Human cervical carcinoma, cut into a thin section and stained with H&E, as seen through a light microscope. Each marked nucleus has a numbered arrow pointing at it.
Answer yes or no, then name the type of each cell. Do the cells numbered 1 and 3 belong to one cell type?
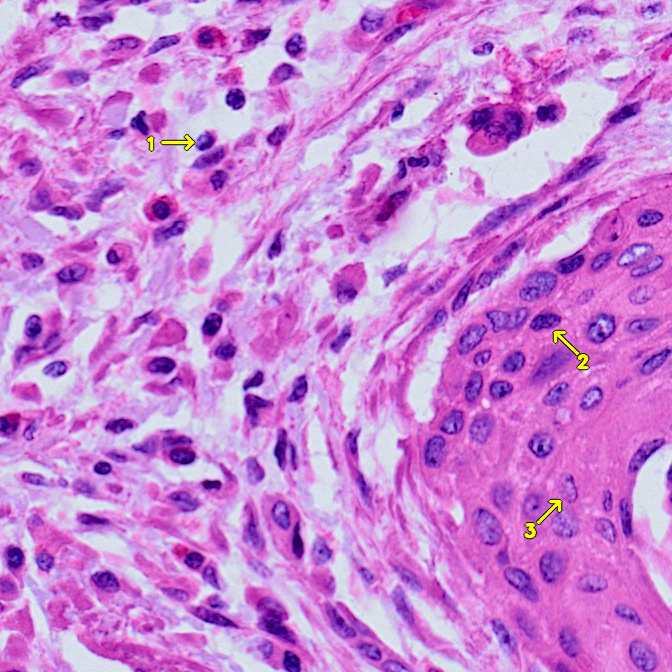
No, the cell at number 1 is a lymphocyte, and the cell at number 3 is a squamous carcinoma cell.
